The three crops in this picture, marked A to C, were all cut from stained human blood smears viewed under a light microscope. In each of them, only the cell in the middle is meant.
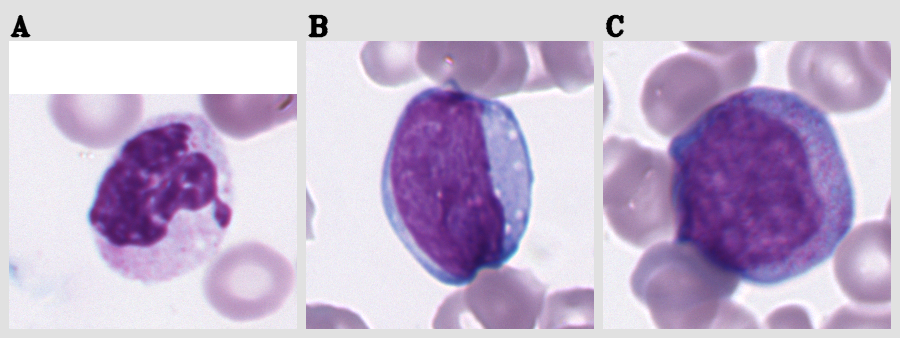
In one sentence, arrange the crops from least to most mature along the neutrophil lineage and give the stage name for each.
The order from the least mature cell to the most mature cell is crop B (a blast), crop C (a promyelocyte) and crop A (a neutrophil).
